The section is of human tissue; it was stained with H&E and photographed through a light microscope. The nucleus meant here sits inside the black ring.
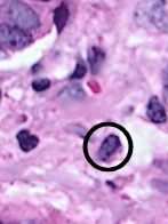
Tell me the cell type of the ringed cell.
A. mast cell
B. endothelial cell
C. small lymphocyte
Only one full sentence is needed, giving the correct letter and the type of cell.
Settle on option A; the ringed cell is a mast cell.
